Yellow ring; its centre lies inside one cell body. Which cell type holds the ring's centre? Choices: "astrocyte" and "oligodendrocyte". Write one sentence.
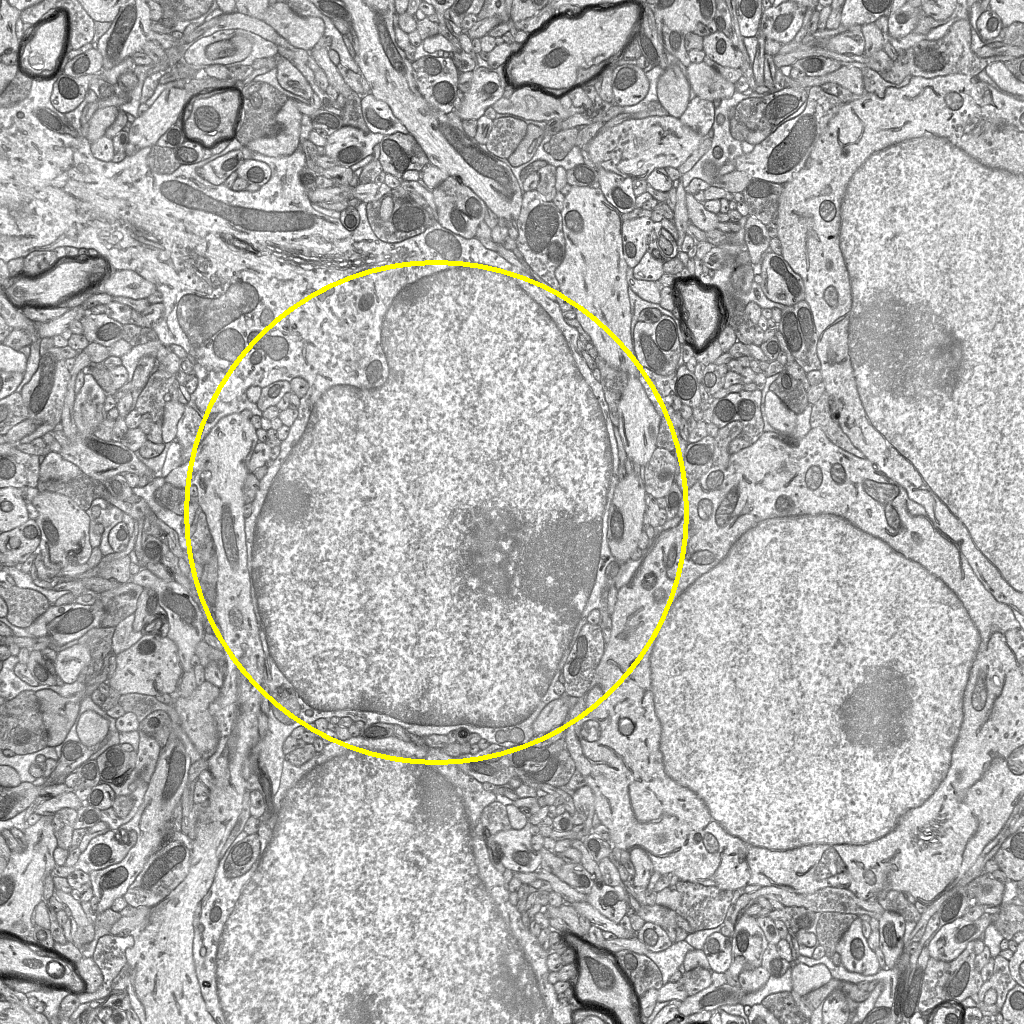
At the centre of the ring sits an astrocyte.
